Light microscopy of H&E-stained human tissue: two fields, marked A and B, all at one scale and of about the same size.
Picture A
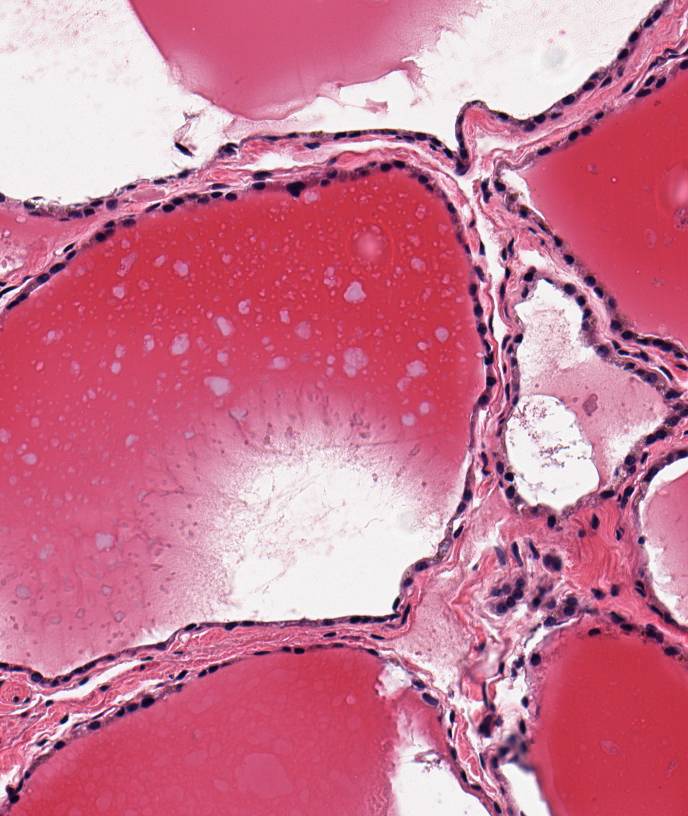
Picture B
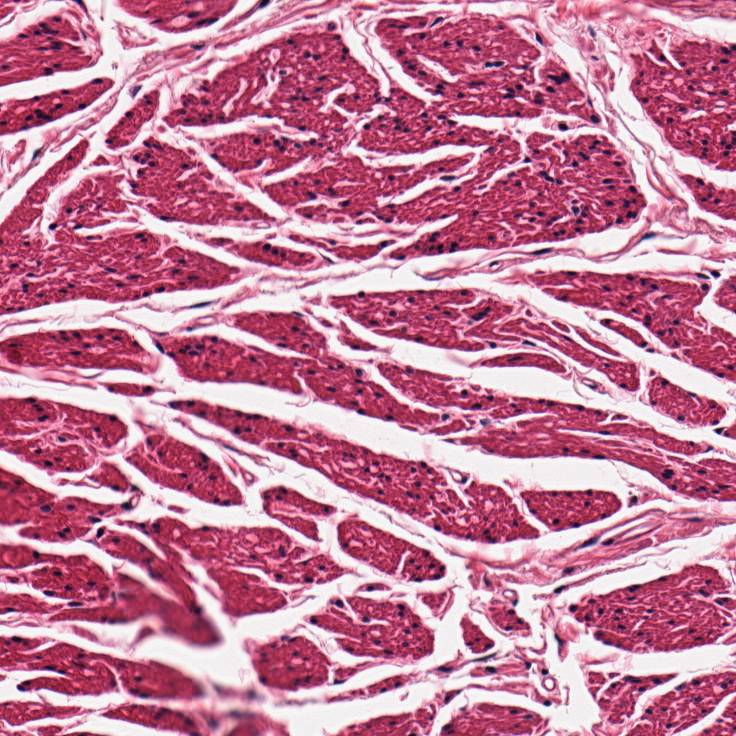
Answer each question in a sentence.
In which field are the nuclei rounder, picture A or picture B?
On the whole the nuclei of picture B are rounder than those of picture A.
